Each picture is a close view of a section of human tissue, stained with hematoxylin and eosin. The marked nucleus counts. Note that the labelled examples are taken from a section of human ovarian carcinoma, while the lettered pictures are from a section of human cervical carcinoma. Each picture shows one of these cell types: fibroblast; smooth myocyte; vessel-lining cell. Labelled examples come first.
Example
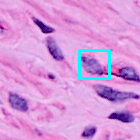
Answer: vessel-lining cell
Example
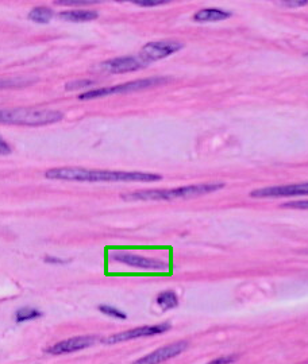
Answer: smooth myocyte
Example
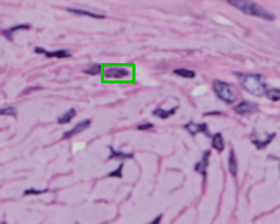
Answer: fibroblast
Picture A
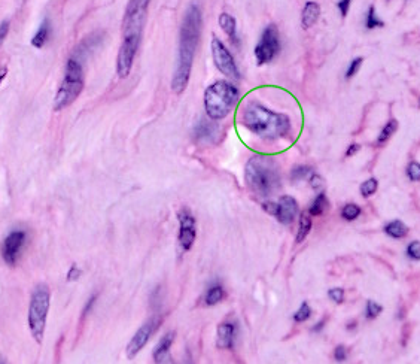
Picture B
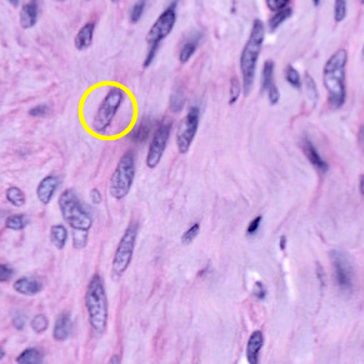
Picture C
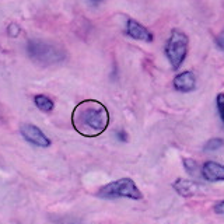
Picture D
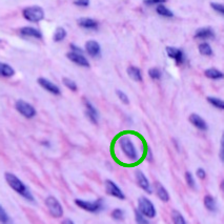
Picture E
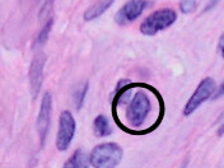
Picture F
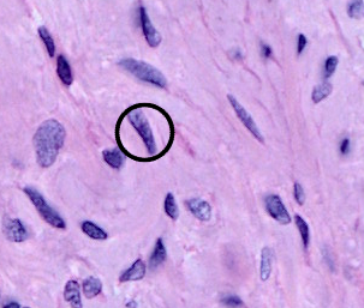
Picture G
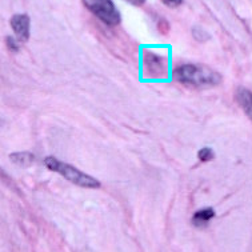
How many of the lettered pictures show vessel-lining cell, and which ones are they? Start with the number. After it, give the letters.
3: A, E, G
